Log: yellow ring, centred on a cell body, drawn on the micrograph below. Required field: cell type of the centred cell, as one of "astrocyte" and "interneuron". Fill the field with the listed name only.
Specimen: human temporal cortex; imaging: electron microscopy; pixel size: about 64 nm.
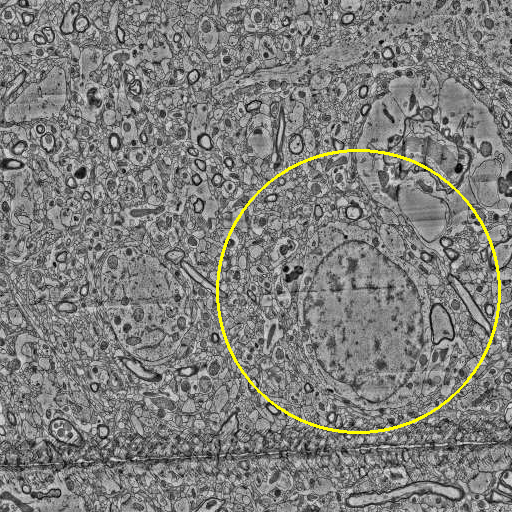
interneuron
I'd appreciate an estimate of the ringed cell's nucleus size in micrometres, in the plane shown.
The nucleus works out at approximately 11 by 8 micrometres in this plane.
